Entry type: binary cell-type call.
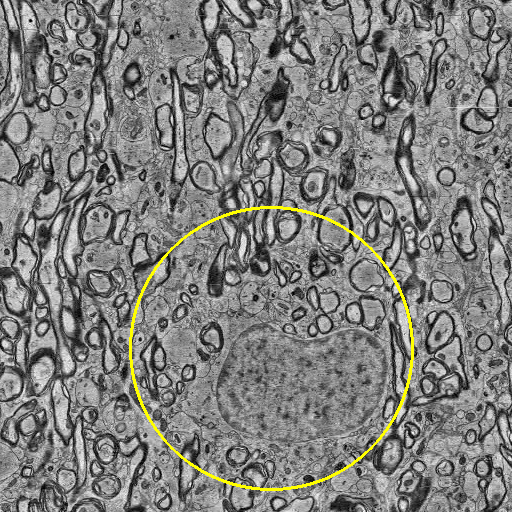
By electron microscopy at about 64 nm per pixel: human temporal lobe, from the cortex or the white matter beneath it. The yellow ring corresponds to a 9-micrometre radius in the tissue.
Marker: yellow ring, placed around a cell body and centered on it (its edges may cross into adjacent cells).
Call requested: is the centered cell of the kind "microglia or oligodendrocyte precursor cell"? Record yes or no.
yes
